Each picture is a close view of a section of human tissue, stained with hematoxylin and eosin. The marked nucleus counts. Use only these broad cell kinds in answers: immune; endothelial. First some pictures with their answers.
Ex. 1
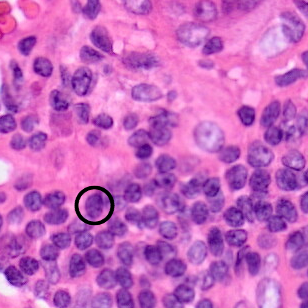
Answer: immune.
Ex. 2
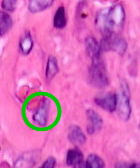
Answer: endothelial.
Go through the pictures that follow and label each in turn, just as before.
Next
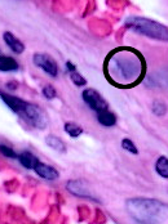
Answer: endothelial.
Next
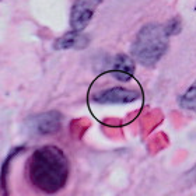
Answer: endothelial.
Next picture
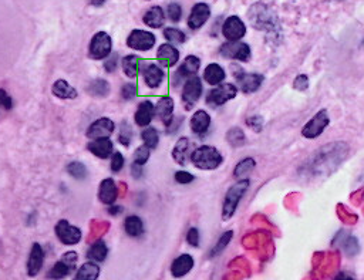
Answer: immune.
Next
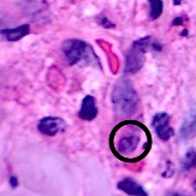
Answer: endothelial.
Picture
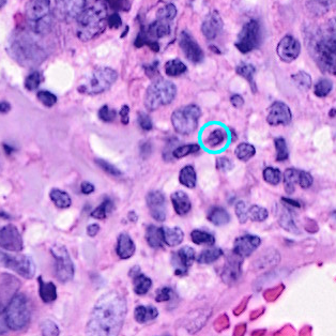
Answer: immune.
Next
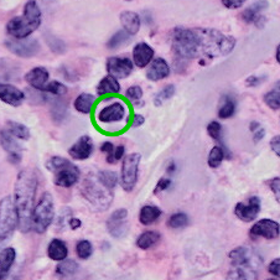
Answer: immune.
